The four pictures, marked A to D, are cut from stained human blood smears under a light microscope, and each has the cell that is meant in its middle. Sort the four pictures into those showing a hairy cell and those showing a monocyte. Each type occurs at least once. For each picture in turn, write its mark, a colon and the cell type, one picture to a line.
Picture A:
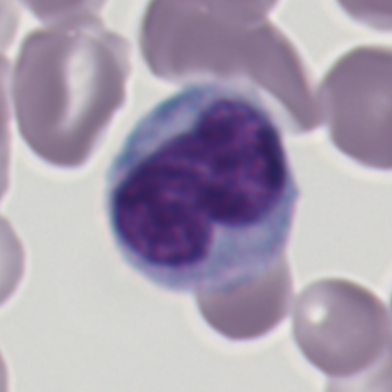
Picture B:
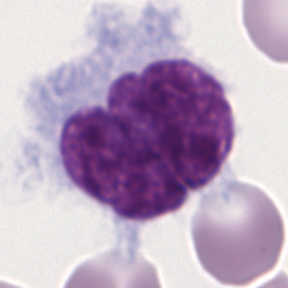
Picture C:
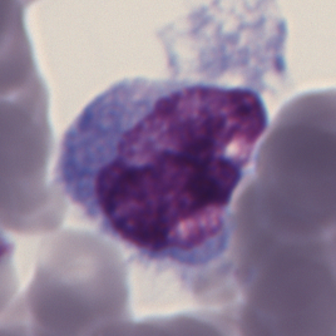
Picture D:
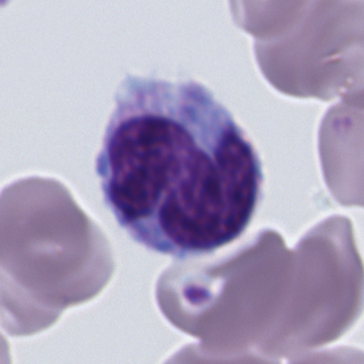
A: monocyte
B: hairy cell
C: monocyte
D: monocyte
